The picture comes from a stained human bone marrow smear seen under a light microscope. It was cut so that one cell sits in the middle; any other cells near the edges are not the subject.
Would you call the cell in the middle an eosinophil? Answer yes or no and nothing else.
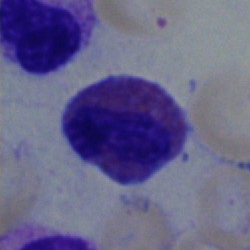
yes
